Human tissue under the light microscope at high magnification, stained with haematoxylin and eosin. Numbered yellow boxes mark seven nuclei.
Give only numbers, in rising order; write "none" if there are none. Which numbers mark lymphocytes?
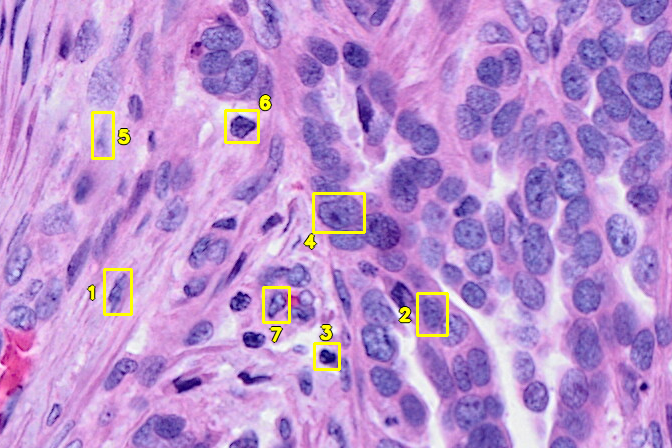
3, 6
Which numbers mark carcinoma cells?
2, 4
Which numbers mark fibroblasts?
1, 5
